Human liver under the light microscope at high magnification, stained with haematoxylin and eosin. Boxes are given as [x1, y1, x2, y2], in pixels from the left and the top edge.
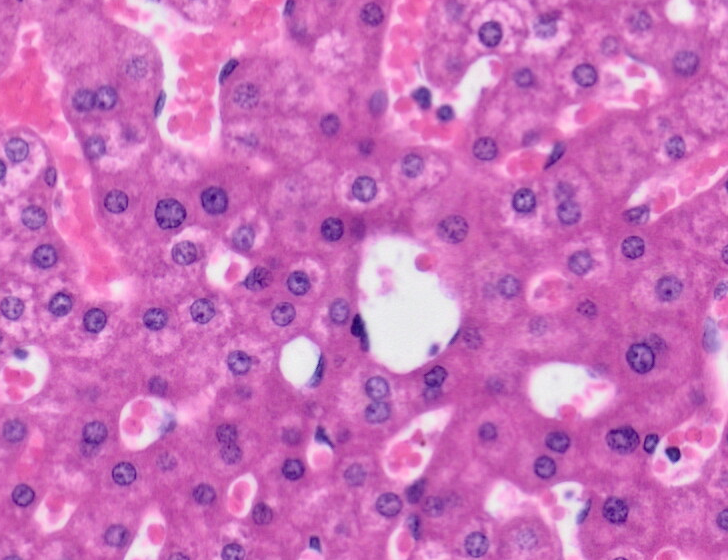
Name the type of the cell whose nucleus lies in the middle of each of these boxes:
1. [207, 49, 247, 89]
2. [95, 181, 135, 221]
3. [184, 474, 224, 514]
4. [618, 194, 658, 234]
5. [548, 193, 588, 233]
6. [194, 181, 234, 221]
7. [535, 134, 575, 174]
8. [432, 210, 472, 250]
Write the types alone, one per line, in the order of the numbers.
endothelial cell
hepatocyte
hepatocyte
Kupffer cell
hepatocyte
hepatocyte
endothelial cell
hepatocyte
